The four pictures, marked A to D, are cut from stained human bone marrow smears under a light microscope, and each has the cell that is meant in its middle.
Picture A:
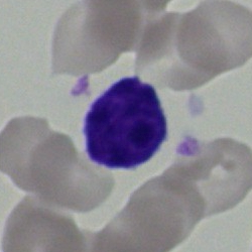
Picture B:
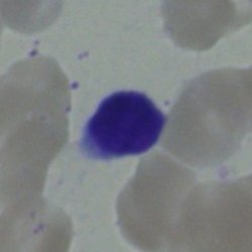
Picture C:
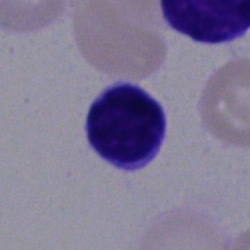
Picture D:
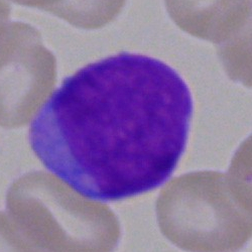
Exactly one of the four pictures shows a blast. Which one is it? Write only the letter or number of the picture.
D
